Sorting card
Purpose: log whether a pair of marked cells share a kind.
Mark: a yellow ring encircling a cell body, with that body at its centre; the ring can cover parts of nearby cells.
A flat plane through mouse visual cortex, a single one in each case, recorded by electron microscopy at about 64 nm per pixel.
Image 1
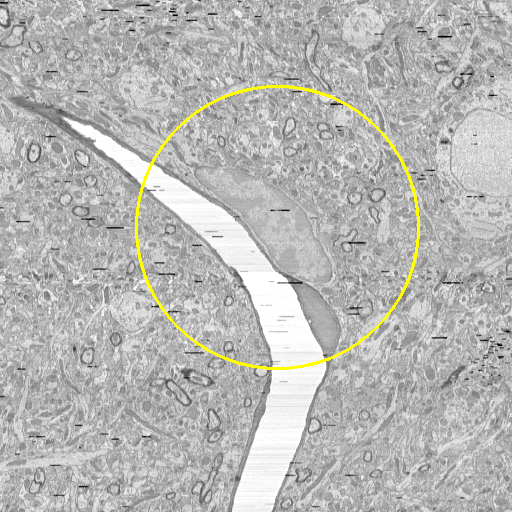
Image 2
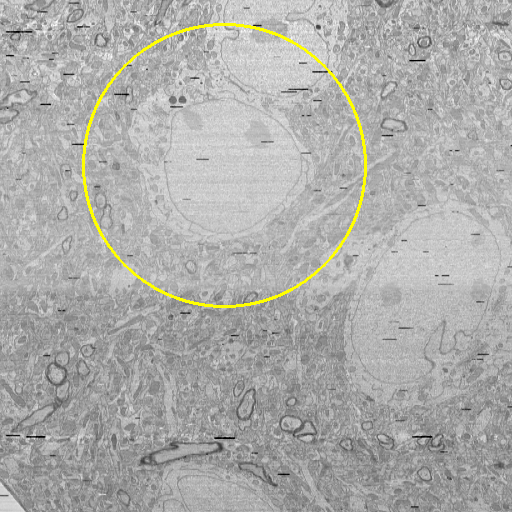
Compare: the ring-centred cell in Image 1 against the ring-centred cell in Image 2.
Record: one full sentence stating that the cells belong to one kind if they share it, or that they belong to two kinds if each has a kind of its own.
Across Images 1 and 2, the two ring-centred cells belong to two kinds.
